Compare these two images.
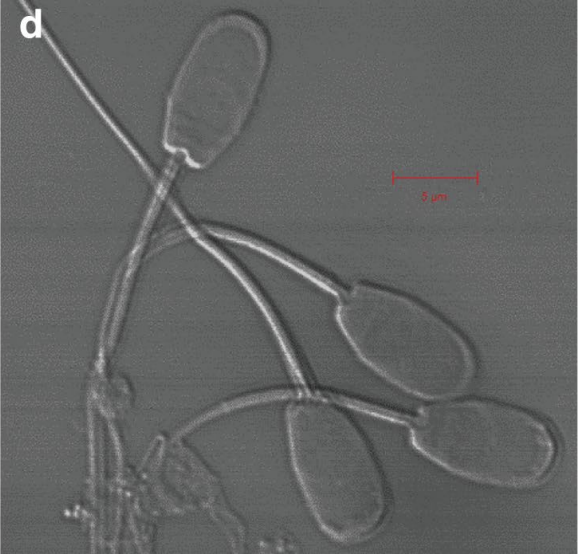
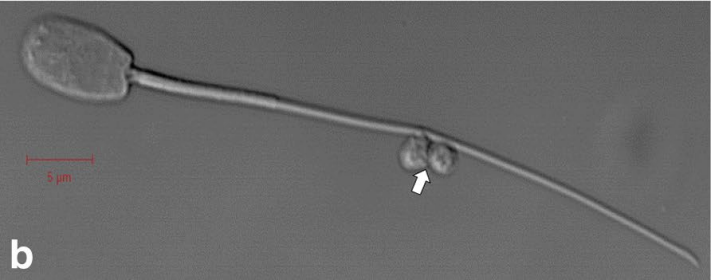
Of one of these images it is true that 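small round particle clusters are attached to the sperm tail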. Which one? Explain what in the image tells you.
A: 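Second image: a cluster of two small round bodies sits on the tail, marked by a white arrow. So: the second image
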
